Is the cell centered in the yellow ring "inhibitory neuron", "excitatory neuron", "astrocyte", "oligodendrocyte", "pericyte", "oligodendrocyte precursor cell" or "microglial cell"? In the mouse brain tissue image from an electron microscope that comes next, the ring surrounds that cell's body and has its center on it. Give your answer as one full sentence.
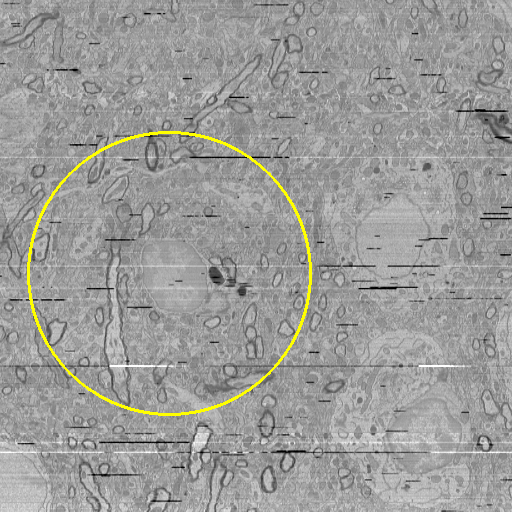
The cell at the center of the yellow ring is a microglial cell in the micrograph.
